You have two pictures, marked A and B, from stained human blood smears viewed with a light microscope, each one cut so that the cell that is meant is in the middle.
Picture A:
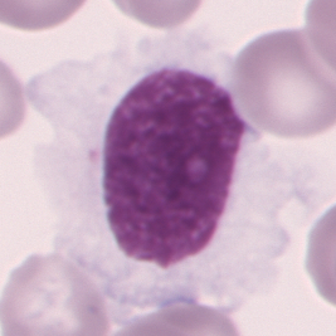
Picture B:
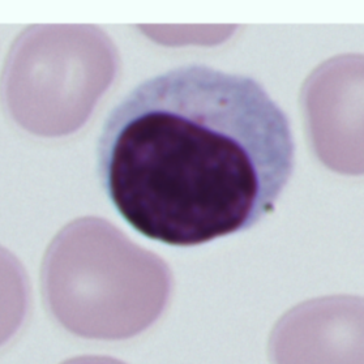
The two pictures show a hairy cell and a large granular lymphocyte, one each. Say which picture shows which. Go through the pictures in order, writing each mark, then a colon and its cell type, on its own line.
A: hairy cell
B: large granular lymphocyte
